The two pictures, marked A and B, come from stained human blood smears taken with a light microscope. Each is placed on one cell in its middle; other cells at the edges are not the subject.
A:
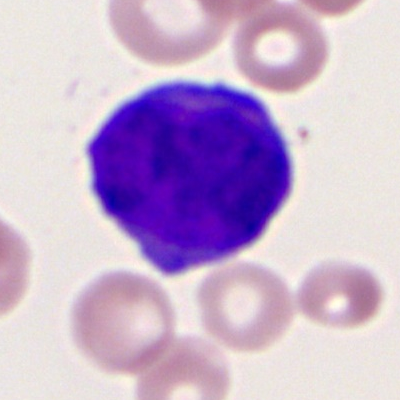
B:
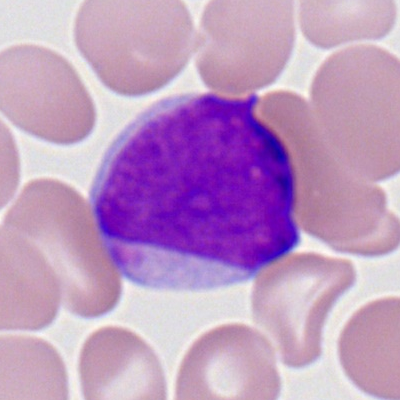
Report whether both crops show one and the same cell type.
yes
